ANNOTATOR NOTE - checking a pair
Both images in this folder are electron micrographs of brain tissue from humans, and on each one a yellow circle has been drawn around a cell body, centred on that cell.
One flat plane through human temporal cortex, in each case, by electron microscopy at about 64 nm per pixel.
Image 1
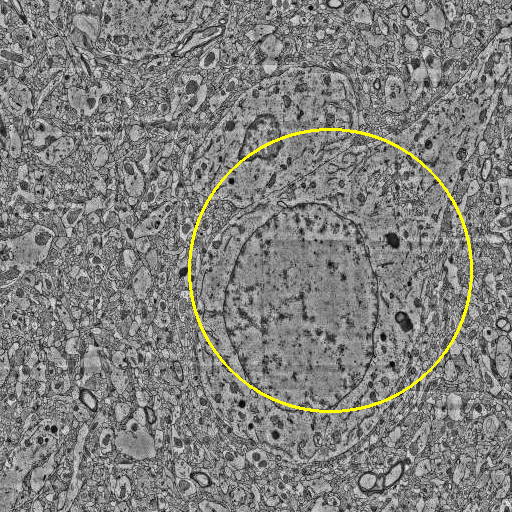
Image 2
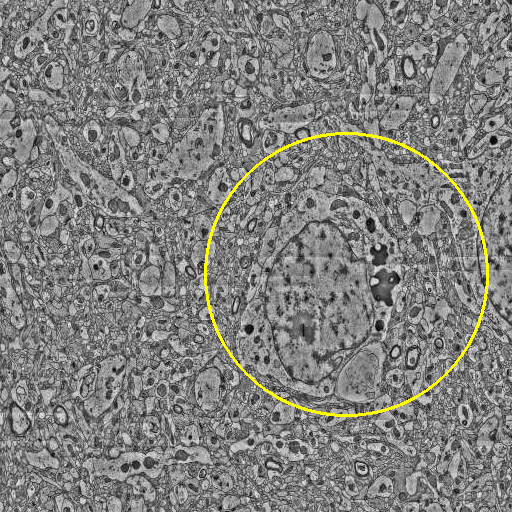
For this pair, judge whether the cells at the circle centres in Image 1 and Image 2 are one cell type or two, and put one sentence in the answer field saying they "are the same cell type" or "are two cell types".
For this pair, the cells at the circle centres in Images 1 and 2 are two cell types.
